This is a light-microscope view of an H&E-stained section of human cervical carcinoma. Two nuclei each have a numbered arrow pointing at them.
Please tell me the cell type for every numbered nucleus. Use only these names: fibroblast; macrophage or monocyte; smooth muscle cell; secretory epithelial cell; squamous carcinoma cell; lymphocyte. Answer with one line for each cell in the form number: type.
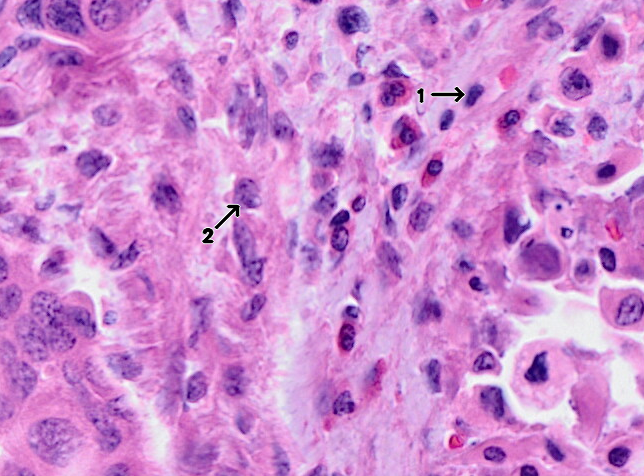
1: lymphocyte
2: macrophage or monocyte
